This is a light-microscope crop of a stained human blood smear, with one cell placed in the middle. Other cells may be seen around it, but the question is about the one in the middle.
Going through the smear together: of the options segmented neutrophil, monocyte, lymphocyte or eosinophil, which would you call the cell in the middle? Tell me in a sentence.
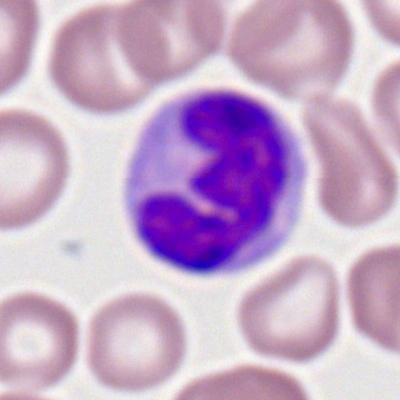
The centrally placed cell is classified as a monocyte.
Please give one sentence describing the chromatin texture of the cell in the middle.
Heads up, the chromatin in this one is coarsely clumped.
